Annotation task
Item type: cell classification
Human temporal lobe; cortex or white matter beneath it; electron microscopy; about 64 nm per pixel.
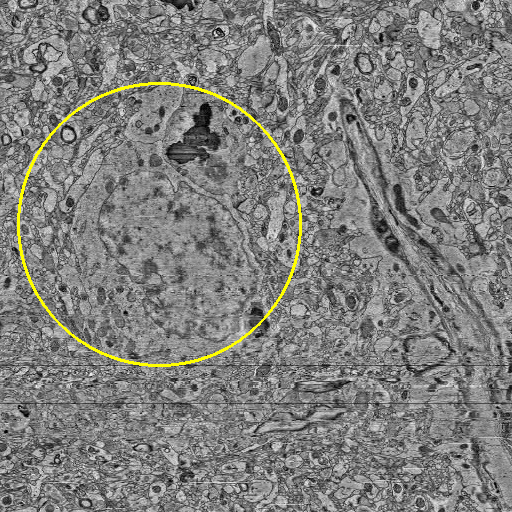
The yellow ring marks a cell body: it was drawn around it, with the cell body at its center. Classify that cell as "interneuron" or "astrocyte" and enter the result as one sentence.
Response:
The ring's center falls on an interneuron.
